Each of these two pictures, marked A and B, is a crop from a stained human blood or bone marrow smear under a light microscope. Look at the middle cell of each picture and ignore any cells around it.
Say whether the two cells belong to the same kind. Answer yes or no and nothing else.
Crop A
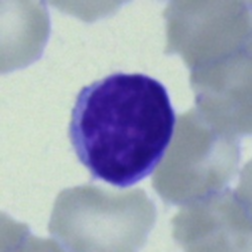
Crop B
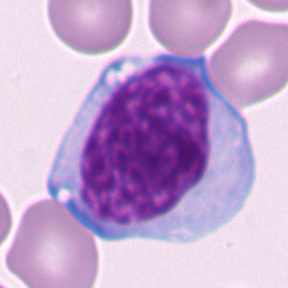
no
